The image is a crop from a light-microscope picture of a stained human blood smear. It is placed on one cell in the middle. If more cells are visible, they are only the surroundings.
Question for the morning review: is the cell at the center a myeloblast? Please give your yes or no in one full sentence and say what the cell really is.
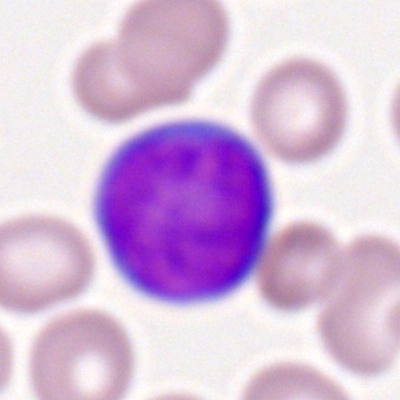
Yes, the middle cell in this crop is a myeloblast.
